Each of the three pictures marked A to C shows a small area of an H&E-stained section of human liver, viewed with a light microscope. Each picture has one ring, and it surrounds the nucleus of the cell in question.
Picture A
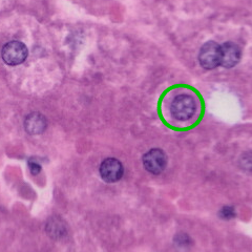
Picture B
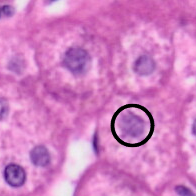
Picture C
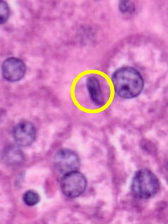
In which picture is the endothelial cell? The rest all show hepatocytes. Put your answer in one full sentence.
The cell in picture C is the endothelial cell.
